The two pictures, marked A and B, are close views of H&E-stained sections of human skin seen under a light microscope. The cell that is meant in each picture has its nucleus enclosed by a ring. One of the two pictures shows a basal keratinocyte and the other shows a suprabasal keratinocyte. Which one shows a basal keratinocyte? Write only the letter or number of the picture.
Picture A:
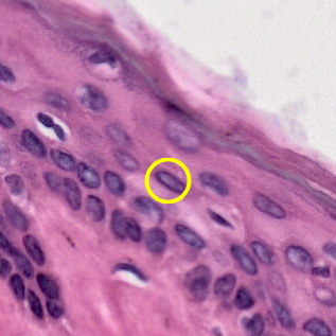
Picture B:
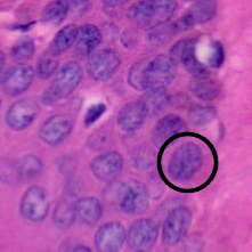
B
